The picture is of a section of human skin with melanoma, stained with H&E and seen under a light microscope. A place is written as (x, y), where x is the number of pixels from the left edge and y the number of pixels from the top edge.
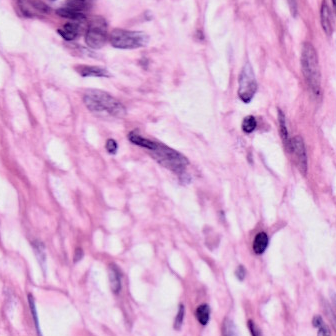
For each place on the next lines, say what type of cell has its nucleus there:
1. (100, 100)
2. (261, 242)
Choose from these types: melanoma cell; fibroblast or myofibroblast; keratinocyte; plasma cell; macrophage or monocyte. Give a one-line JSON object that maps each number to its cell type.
{"1": "fibroblast or myofibroblast", "2": "plasma cell"}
